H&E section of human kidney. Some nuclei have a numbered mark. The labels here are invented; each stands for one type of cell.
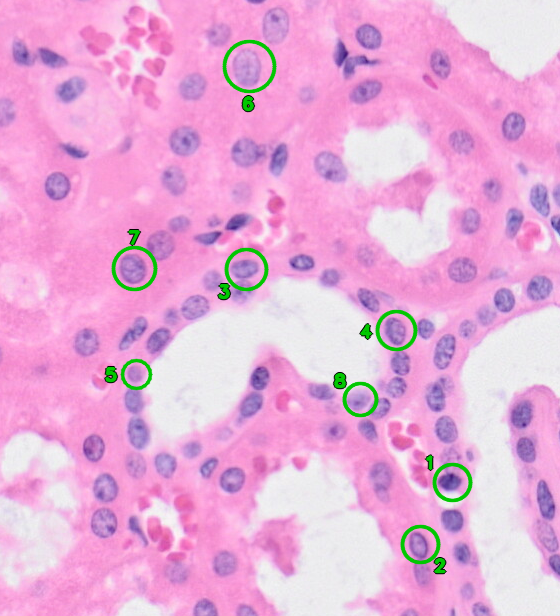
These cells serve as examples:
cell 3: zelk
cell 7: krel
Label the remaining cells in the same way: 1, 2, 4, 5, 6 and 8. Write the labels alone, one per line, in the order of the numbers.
zelk
krel
zelk
zelk
krel
zelk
